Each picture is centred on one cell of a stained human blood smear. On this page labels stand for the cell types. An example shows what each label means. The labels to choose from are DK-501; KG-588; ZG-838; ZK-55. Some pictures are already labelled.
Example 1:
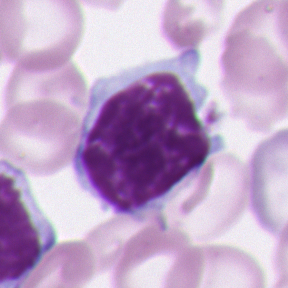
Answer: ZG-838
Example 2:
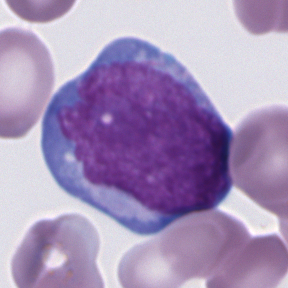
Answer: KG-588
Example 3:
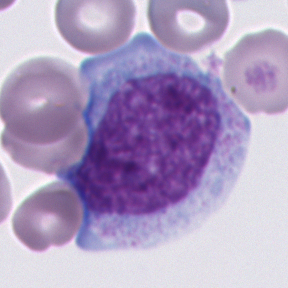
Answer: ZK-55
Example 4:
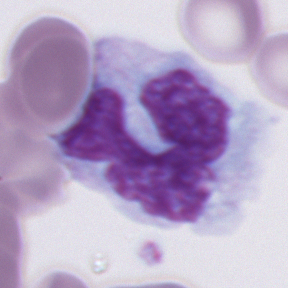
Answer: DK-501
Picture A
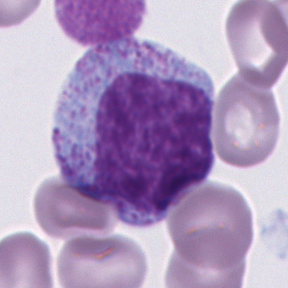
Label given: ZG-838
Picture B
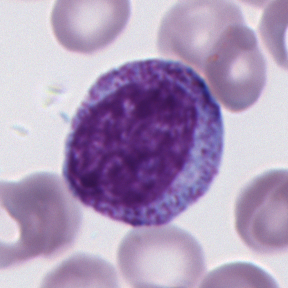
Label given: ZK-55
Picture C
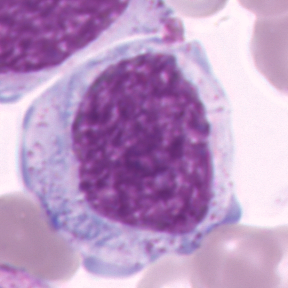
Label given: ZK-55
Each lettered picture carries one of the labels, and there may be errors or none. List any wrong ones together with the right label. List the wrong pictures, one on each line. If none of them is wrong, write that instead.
A: change ZG-838 to ZK-55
